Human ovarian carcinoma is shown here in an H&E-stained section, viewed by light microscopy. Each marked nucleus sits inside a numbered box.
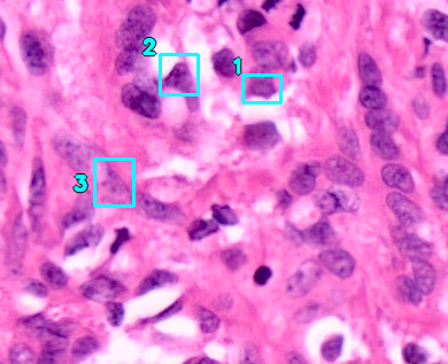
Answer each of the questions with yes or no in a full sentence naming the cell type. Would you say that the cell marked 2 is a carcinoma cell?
Yes, the cell given number 2 is a carcinoma cell.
